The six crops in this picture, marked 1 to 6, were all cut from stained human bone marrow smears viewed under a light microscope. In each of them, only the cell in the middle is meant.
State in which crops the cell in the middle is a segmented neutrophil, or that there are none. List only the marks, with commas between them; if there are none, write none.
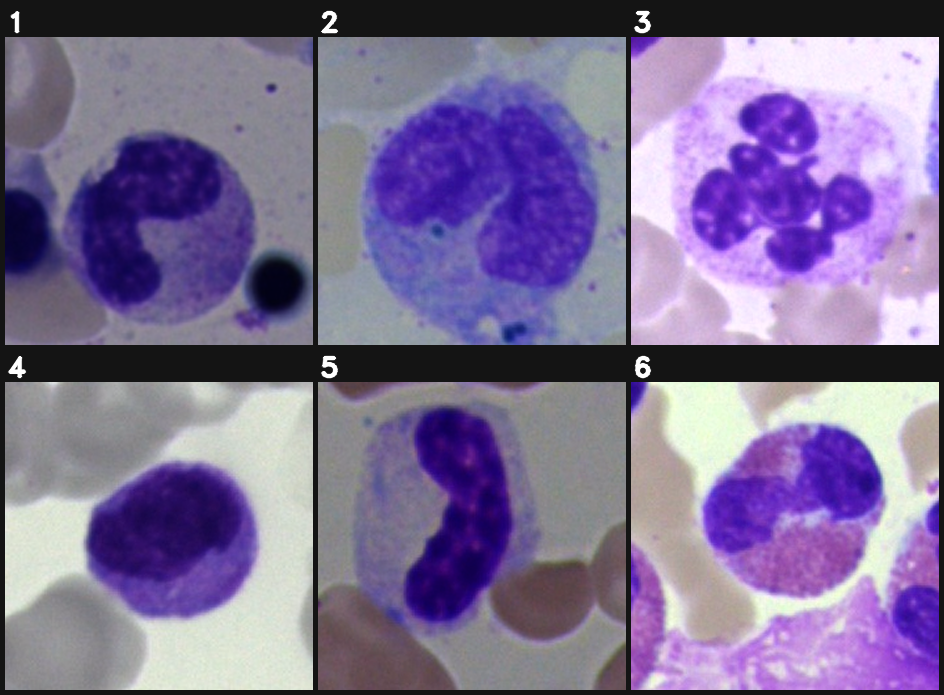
3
